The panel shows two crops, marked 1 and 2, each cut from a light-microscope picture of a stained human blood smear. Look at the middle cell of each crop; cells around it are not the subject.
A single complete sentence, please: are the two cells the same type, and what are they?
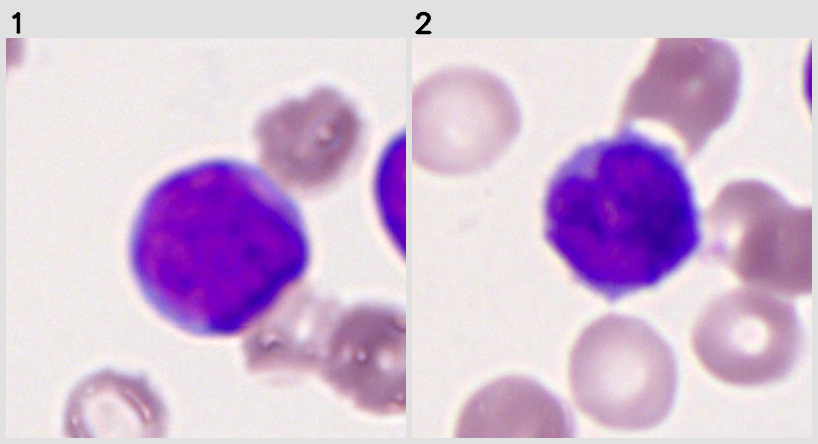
Yes, both crops show myeloblasts, one in each.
